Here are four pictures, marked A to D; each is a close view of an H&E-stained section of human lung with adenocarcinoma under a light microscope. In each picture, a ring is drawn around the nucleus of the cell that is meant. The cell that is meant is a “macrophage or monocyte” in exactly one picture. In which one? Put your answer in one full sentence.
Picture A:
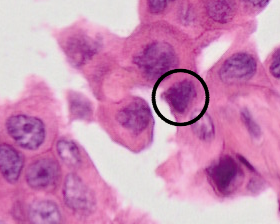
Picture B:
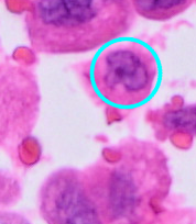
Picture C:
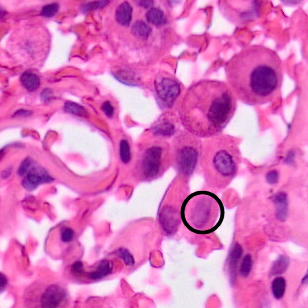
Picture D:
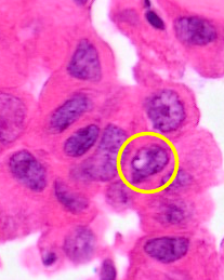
The picture with the “macrophage or monocyte” is C.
